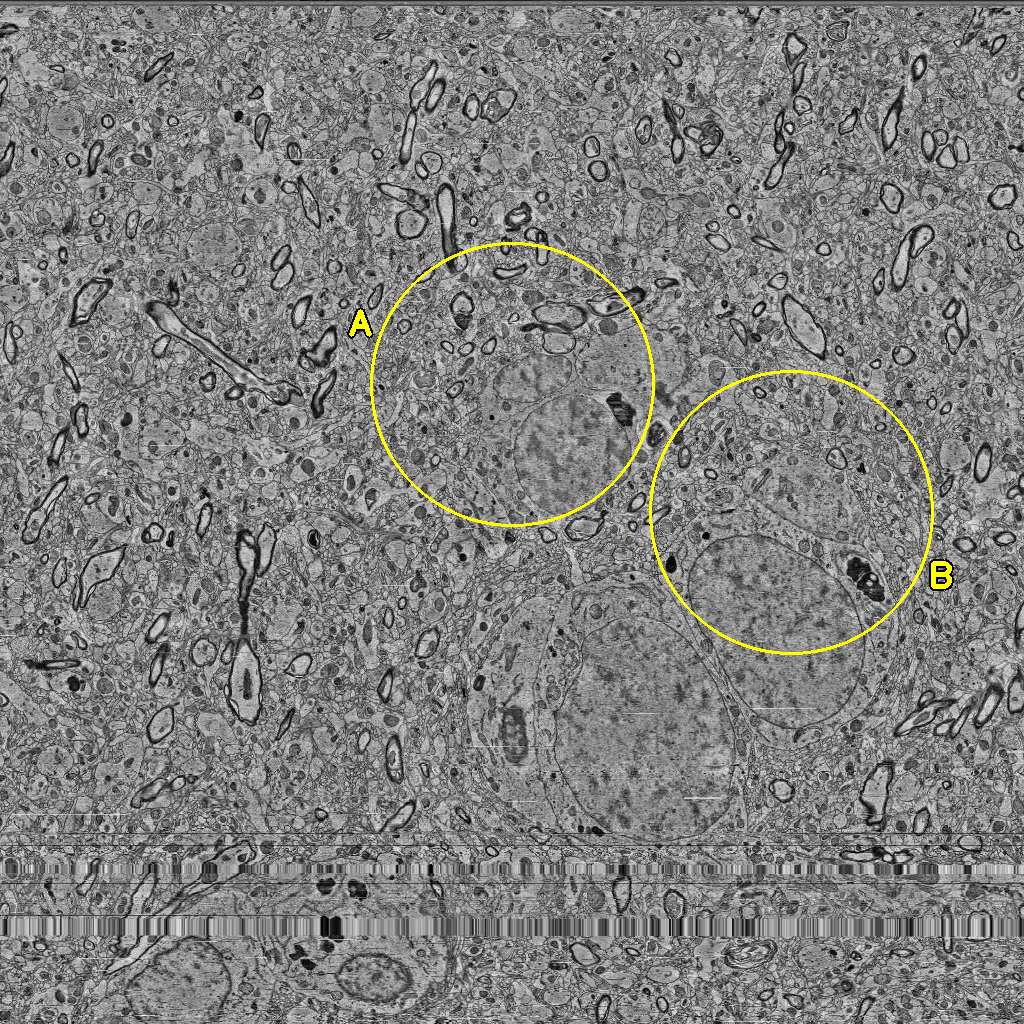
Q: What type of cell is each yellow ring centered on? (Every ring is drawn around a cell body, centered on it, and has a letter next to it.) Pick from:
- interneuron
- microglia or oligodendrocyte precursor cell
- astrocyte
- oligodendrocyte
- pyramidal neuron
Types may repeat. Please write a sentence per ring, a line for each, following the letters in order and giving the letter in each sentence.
The cell body centered in ring A belongs to an oligodendrocyte.
The cell body centered in ring B belongs to an oligodendrocyte.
